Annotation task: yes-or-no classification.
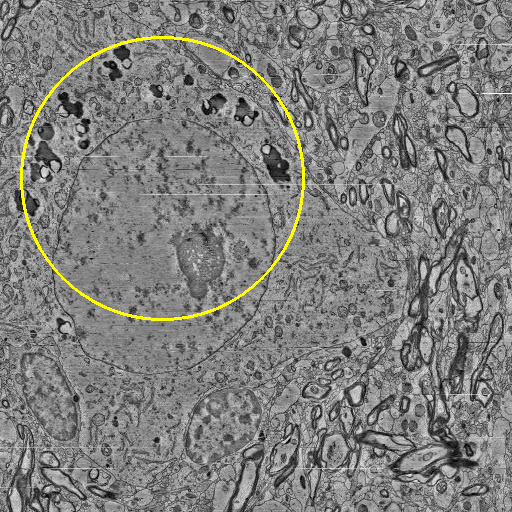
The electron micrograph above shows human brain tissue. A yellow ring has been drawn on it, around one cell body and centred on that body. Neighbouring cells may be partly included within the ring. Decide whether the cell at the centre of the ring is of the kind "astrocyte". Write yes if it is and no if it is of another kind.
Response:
no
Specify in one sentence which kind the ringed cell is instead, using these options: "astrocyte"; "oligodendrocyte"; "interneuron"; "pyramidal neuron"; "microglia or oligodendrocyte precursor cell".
The cell at the ring centre is a pyramidal neuron.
